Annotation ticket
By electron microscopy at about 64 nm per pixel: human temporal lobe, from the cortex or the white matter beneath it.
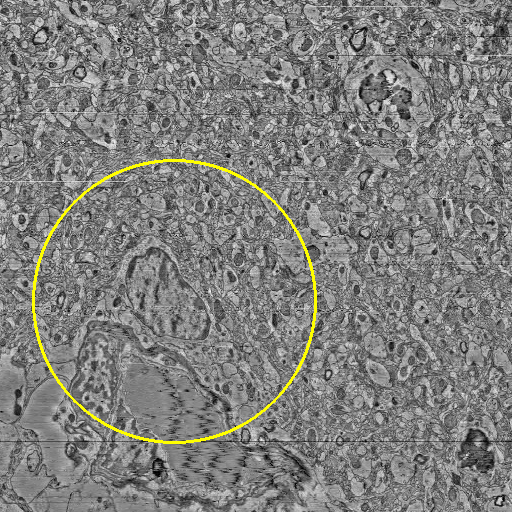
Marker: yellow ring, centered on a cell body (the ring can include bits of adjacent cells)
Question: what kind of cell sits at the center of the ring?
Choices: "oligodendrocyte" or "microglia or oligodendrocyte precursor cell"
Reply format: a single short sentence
The ring is centered on a microglial cell or oligodendrocyte precursor cell.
